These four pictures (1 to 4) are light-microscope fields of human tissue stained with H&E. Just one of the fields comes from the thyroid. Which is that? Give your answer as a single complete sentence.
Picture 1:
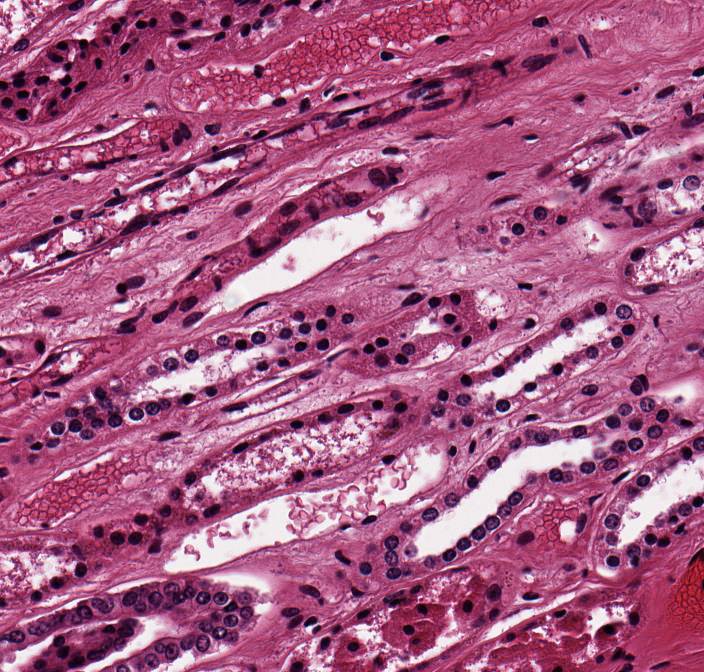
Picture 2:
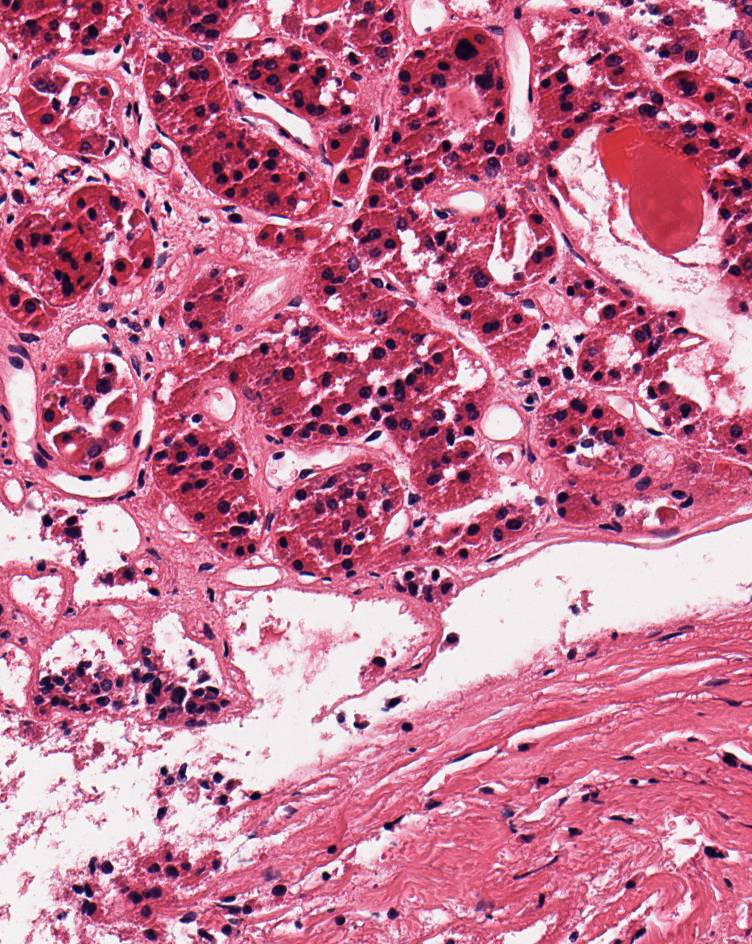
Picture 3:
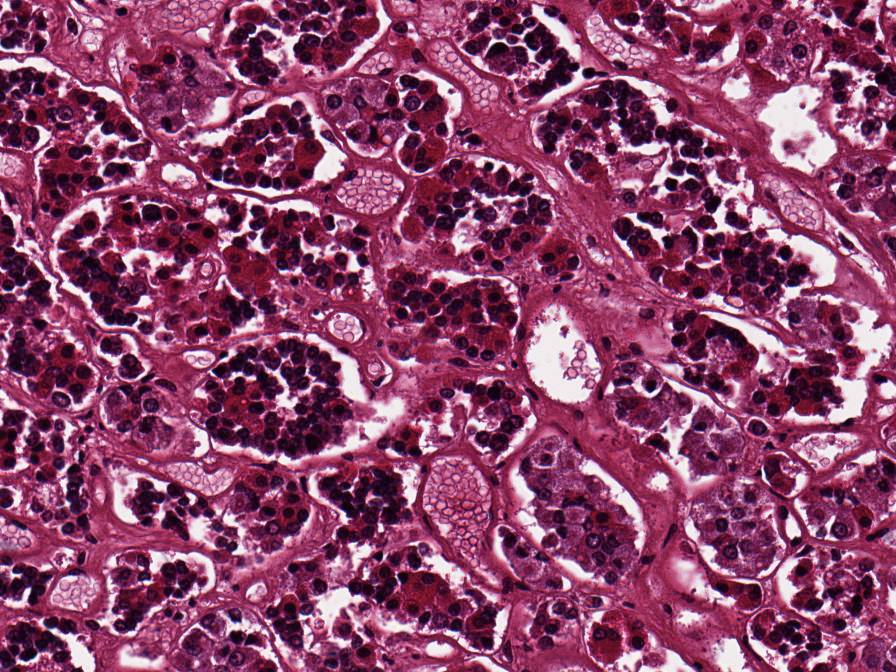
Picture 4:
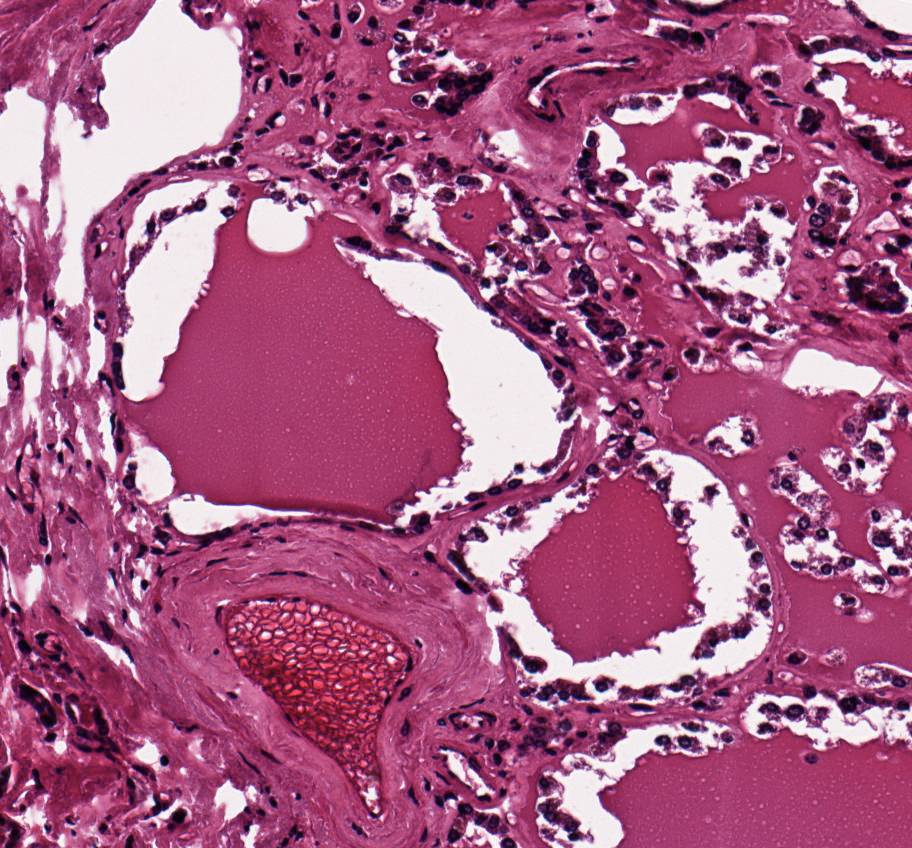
Picture 4 comes from the thyroid.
